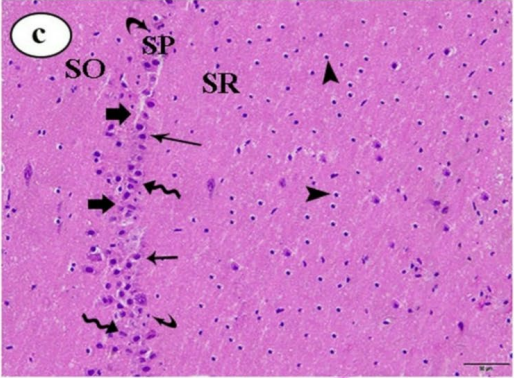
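This is the hippocampal pyramidal cell layer flanked by pink neuropil layers with scattered glial cells. The neuronal band is irregular, with small dark shrunken neurons, narrow elongated cells and clear vacuolated spaces among the cells.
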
